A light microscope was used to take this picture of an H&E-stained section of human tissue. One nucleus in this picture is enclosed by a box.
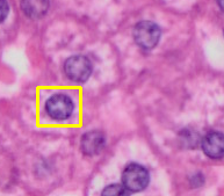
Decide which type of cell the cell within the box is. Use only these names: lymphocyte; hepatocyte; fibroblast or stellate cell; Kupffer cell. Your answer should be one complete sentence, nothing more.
Histopathologically, the cell within the box is a hepatocyte.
